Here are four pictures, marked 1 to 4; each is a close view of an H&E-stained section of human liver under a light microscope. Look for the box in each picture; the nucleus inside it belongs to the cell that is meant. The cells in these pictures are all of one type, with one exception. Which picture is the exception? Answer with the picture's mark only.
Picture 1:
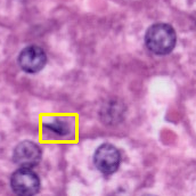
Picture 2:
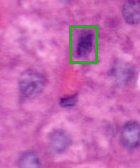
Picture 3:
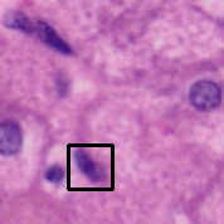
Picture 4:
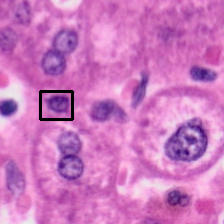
1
